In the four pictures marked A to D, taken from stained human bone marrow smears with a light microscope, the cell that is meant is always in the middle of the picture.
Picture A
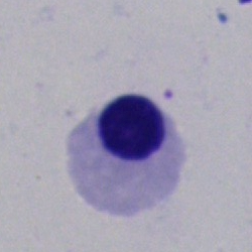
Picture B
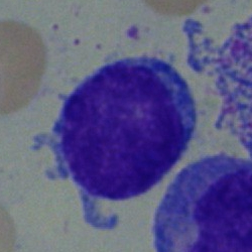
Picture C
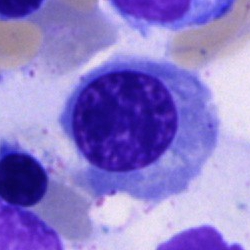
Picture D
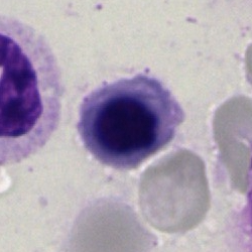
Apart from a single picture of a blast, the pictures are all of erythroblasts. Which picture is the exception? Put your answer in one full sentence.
The blast is the one in picture B.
